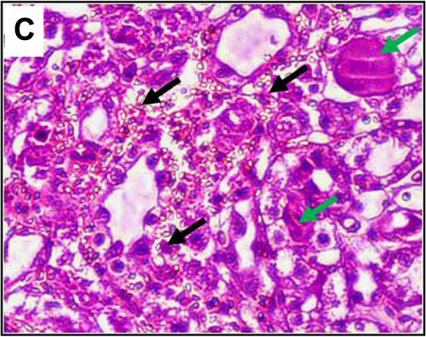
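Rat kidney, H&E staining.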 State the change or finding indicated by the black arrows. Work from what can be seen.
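Congestion. The black arrows point to spaces between tubules packed with small pale round red blood cells. These crowded blood cells lie outside the tubular epithelium.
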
